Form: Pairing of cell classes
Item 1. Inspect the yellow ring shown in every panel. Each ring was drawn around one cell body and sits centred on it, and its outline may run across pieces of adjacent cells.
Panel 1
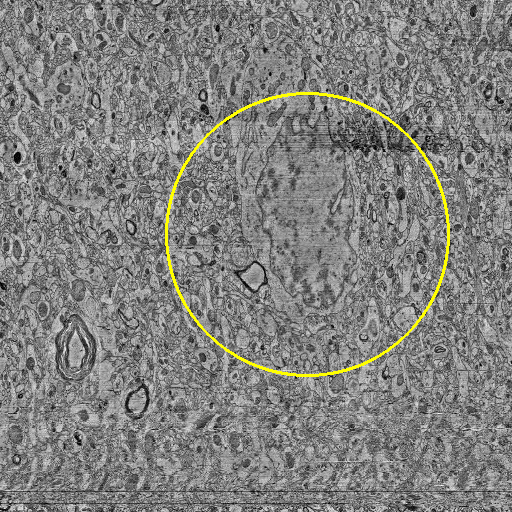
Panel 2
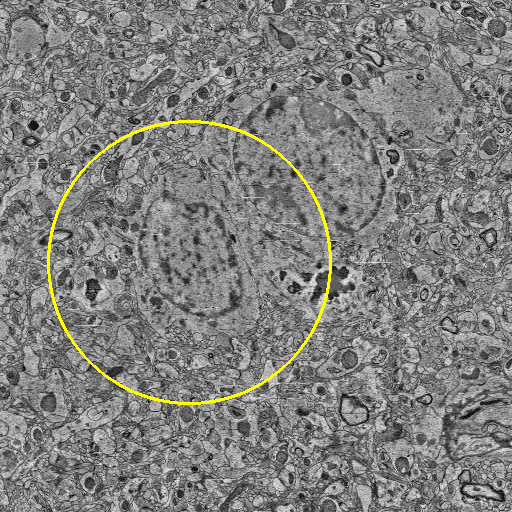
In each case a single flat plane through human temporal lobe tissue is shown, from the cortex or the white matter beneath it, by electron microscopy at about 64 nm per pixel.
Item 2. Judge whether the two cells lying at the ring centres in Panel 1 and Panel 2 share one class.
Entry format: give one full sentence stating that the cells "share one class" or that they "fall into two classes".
The cells at the ring centres in Panel 1 and Panel 2 fall into two classes.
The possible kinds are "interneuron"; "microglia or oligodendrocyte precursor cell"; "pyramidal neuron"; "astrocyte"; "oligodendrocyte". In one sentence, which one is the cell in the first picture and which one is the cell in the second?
The cell ringed in the second picture is an astrocyte, whereas the one ringed in the first is an interneuron.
